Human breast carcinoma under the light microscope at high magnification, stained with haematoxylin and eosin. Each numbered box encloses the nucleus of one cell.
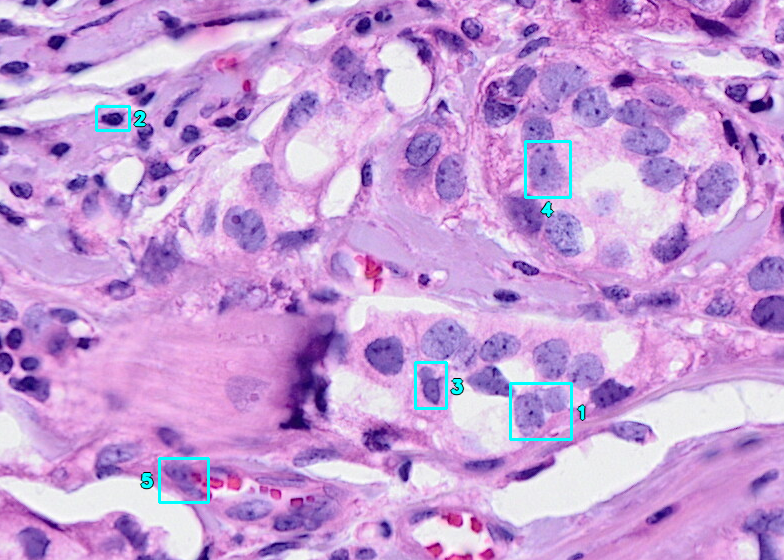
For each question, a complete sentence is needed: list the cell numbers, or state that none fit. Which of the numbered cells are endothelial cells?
Of the numbered cells, only cell 5 is an endothelial cell.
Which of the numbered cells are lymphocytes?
Only at number 2 is there a lymphocyte.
